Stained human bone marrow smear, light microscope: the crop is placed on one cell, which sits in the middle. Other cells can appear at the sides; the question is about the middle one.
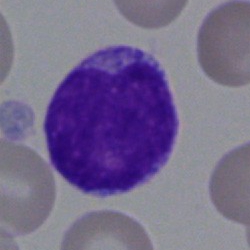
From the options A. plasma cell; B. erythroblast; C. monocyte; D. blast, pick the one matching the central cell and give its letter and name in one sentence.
The middle of the crop contains a blast, so option D is right.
